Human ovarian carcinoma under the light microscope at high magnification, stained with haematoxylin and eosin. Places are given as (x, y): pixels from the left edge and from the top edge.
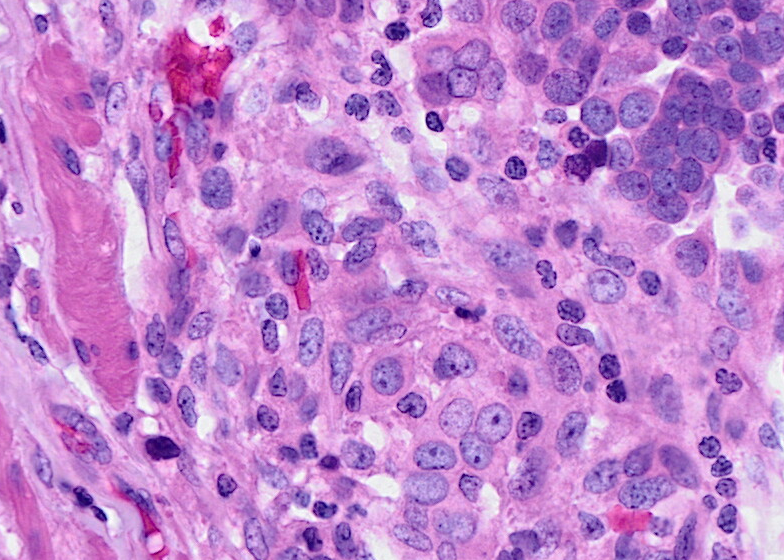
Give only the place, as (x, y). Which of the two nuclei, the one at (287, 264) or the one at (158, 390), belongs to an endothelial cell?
(287, 264)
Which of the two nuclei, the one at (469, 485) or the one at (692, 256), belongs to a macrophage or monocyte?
(469, 485)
